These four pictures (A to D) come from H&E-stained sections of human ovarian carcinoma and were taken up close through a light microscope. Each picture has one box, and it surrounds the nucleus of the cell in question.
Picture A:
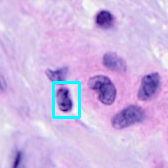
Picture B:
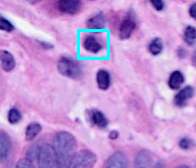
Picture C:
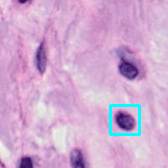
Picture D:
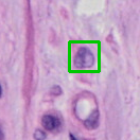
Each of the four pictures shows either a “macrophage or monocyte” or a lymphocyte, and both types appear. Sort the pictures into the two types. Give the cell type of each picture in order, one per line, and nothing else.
lymphocyte
lymphocyte
lymphocyte
macrophage or monocyte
